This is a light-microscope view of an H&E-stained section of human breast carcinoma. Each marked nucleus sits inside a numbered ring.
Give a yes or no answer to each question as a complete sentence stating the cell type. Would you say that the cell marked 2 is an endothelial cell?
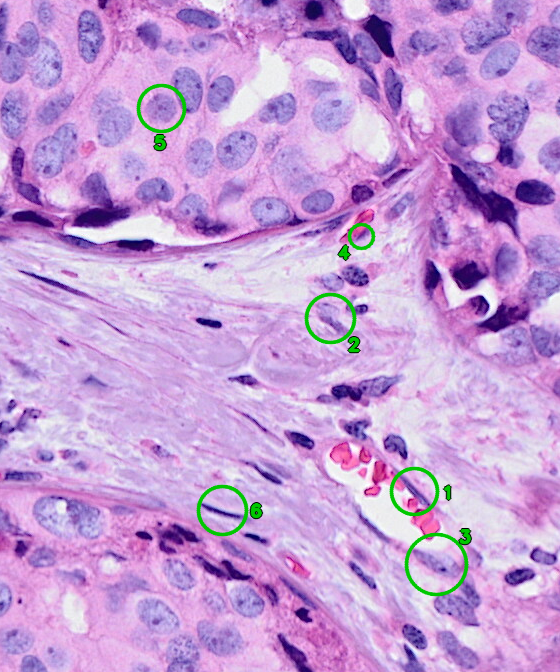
No, a fibroblast is what cell 2 is, not an endothelial cell.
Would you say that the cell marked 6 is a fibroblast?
Yes, in this section the cell numbered 6 is a fibroblast.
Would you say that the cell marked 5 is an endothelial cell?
No, the cell given number 5 is a carcinoma cell, as opposed to an endothelial cell.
